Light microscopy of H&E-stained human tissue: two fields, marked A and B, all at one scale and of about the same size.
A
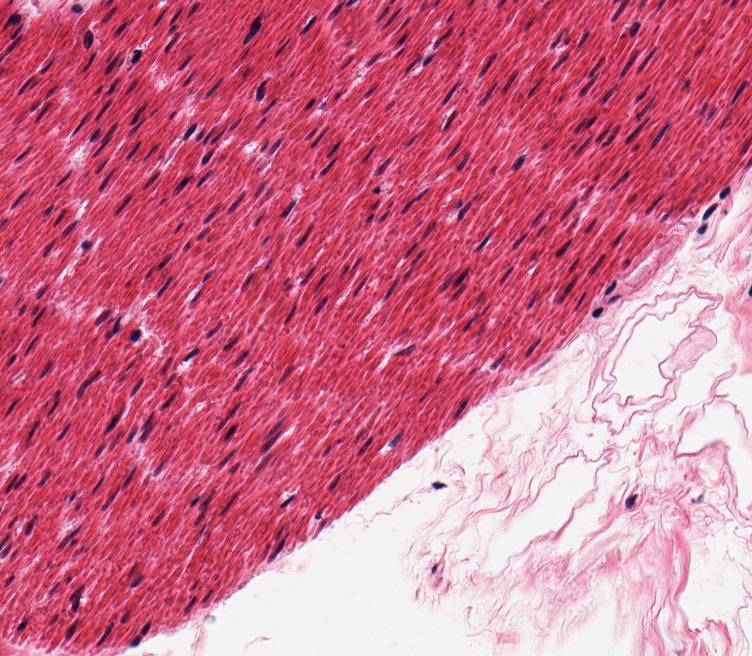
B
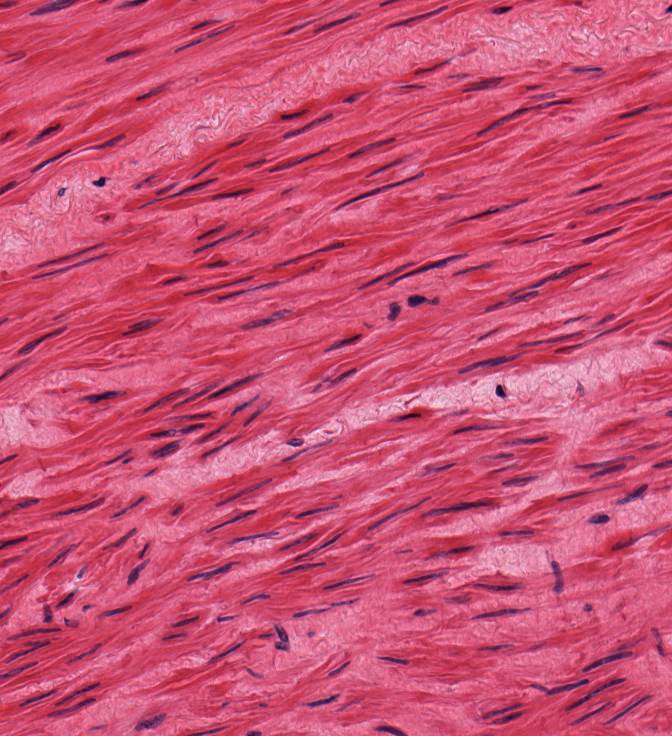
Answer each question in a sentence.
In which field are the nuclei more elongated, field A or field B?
The nuclei are more elongated in field B.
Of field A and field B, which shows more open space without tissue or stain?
Field A has more white space.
